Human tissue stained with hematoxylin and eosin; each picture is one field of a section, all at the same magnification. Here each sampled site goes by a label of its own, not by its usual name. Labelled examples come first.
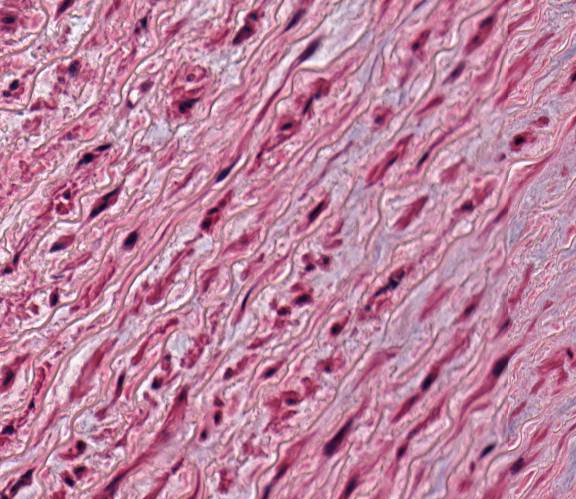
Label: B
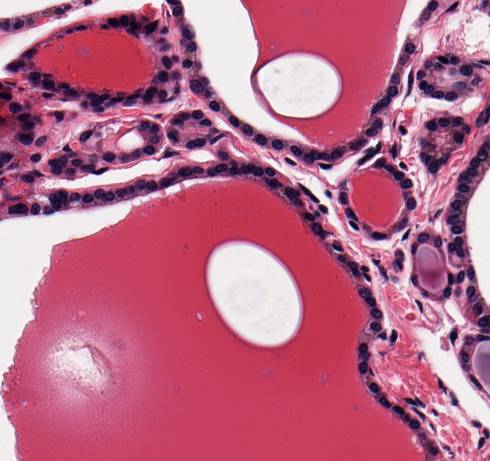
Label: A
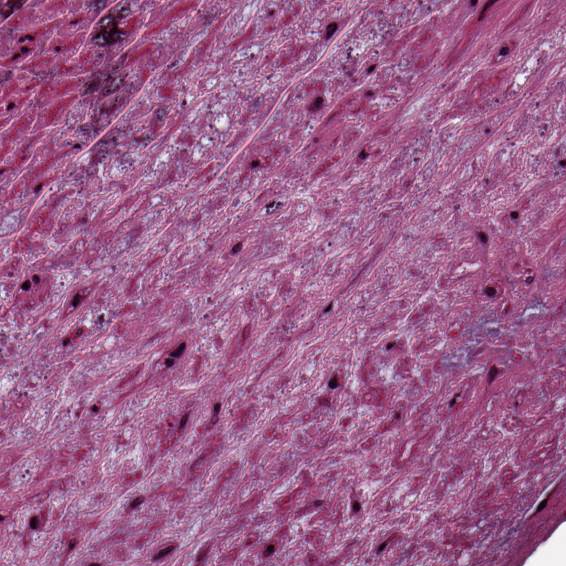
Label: B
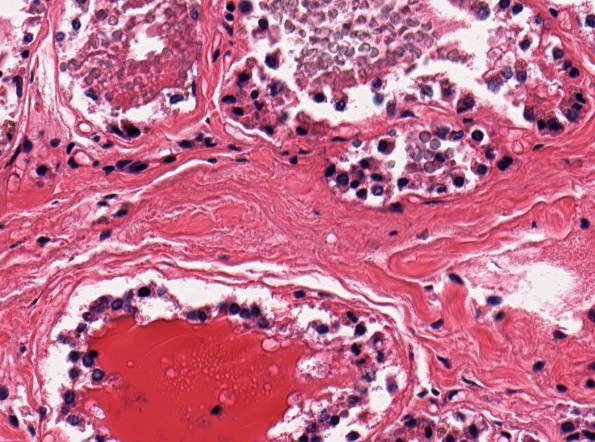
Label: A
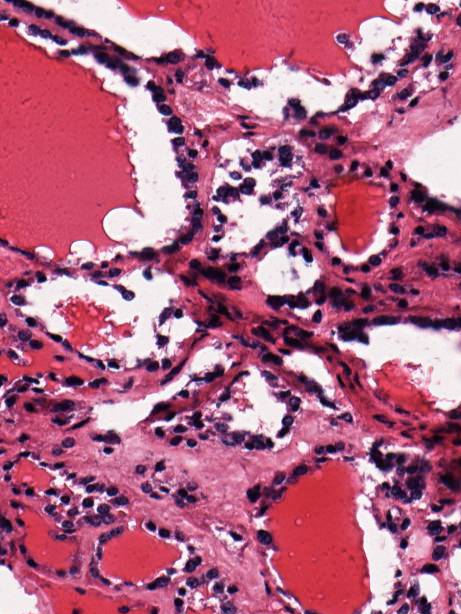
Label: A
